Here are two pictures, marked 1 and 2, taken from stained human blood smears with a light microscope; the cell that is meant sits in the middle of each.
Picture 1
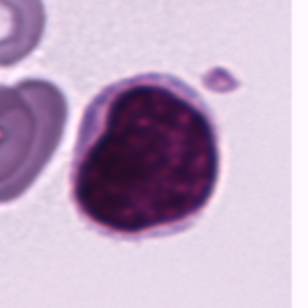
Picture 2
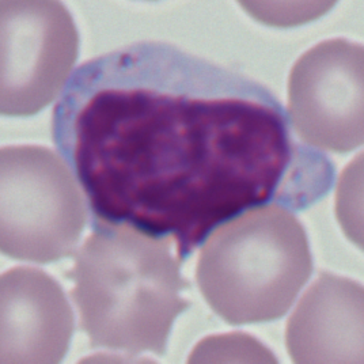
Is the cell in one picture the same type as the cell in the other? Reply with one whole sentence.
Yes; the cells in both pictures are large granular lymphocytes.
